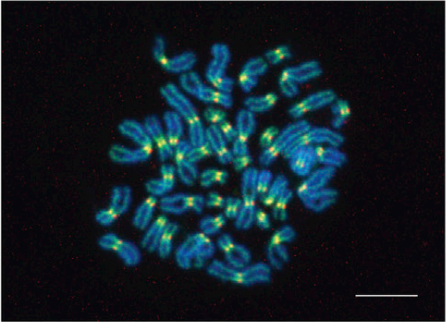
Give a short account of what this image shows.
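This is a spread of condensed mitotic chromosomes from a single cell, scattered as separate rod-shaped blue bodies. Green runs along the chromatid axes and is strongest around the constriction.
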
